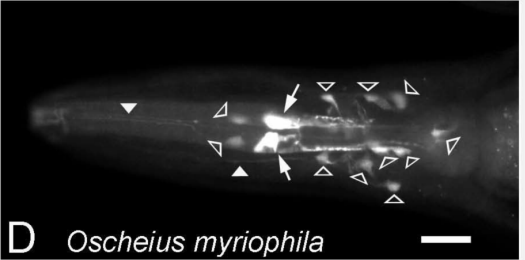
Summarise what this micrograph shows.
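This is the head of a small nematode seen from below, with labelled neurons glowing against a dim background. Near the midline sits a pair of large, very bright cell bodies, and from them fine beaded fibres run backward alongside the pharynx. Scattered on both sides, in front of and behind this pair, are many smaller and dimmer rounded cell bodies, some linked to faint processes. Toward the tip of the head, thin faint fibres run forward along the body. The rounded terminal bulb of the pharynx is visible at the right as a pale swelling.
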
